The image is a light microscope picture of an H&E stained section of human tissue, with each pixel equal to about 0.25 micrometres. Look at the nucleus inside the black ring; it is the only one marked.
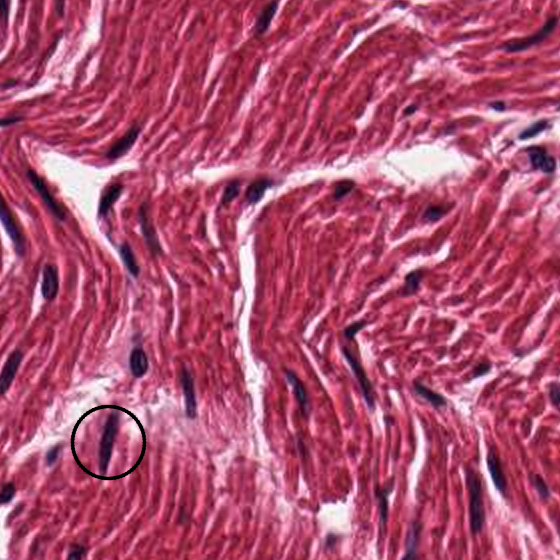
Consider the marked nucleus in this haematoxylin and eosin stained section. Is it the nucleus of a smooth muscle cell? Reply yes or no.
yes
